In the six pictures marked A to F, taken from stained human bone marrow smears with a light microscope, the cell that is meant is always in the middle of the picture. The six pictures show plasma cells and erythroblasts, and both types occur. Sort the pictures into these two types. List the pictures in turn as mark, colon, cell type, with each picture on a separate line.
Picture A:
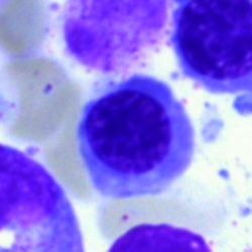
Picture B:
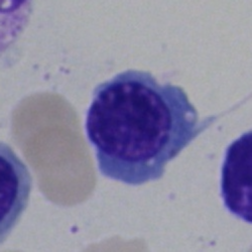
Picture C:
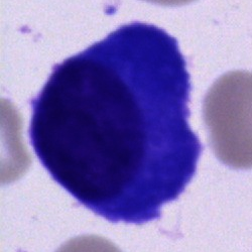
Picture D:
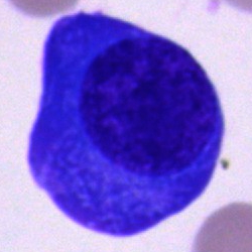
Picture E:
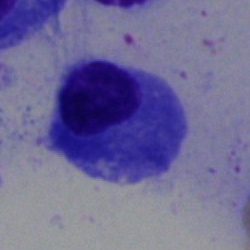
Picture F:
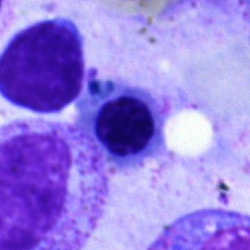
A: erythroblast
B: erythroblast
C: plasma cell
D: plasma cell
E: plasma cell
F: erythroblast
